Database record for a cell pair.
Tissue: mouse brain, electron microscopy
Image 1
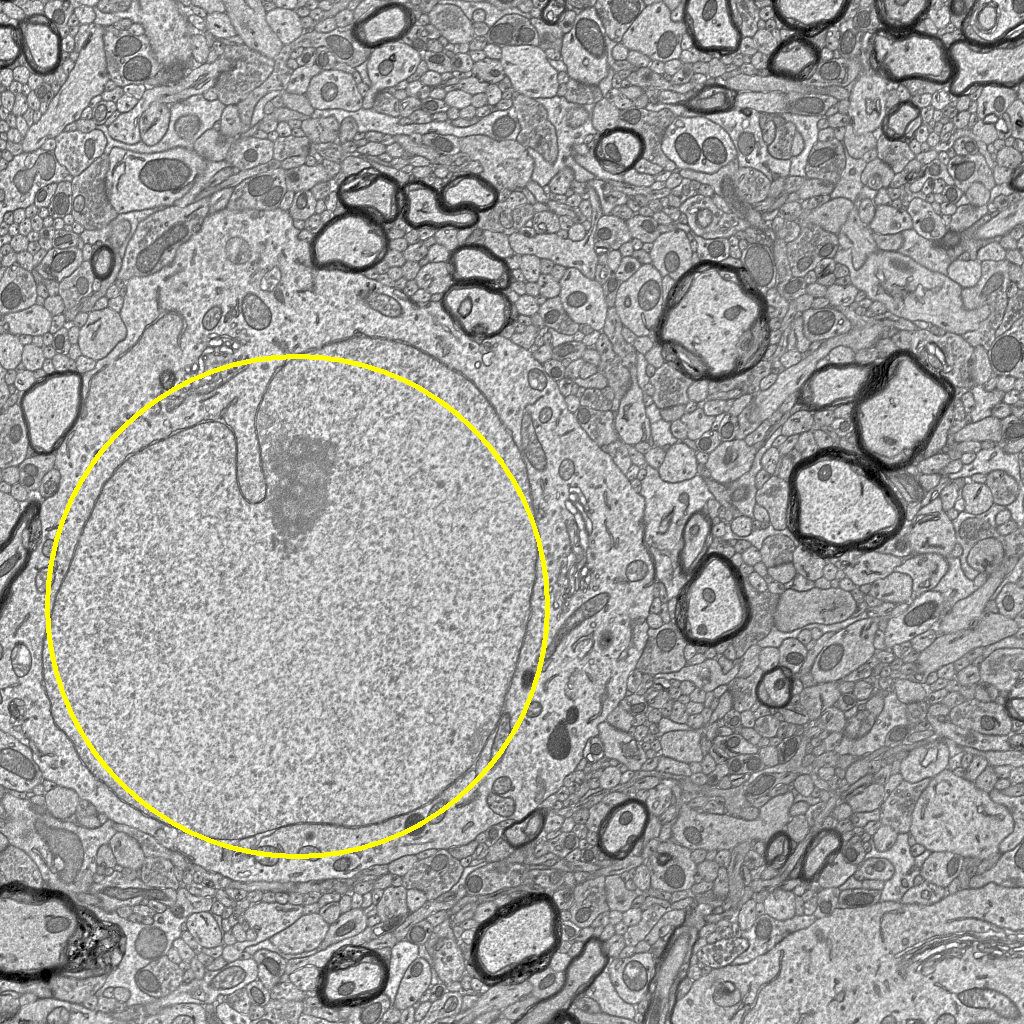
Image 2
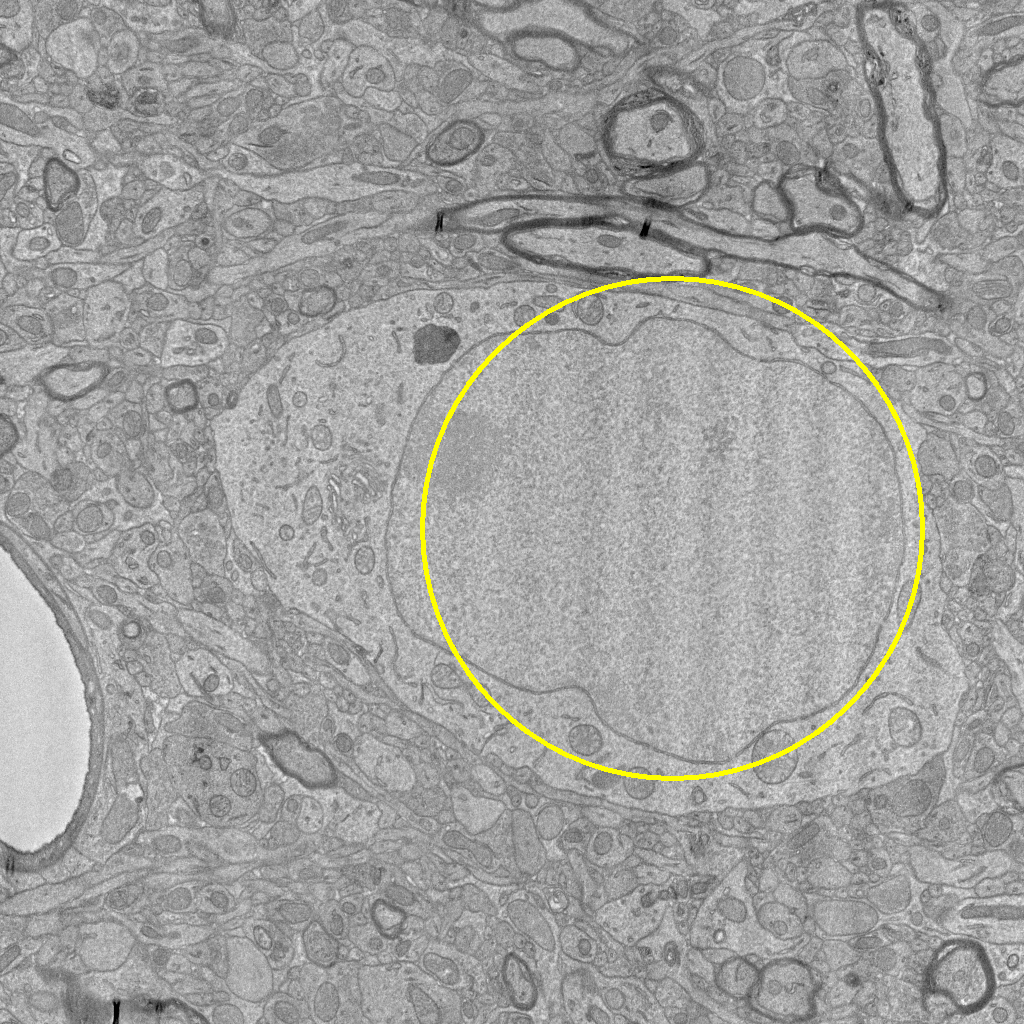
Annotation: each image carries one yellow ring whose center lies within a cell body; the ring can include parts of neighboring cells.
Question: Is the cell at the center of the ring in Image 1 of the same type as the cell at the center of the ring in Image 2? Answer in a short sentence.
Yes, the cells are of the same type.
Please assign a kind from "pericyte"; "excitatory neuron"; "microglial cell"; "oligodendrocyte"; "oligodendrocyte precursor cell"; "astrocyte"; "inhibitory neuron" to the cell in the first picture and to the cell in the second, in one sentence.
The cell in the first picture is an excitatory neuron, and so is the one in the second.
